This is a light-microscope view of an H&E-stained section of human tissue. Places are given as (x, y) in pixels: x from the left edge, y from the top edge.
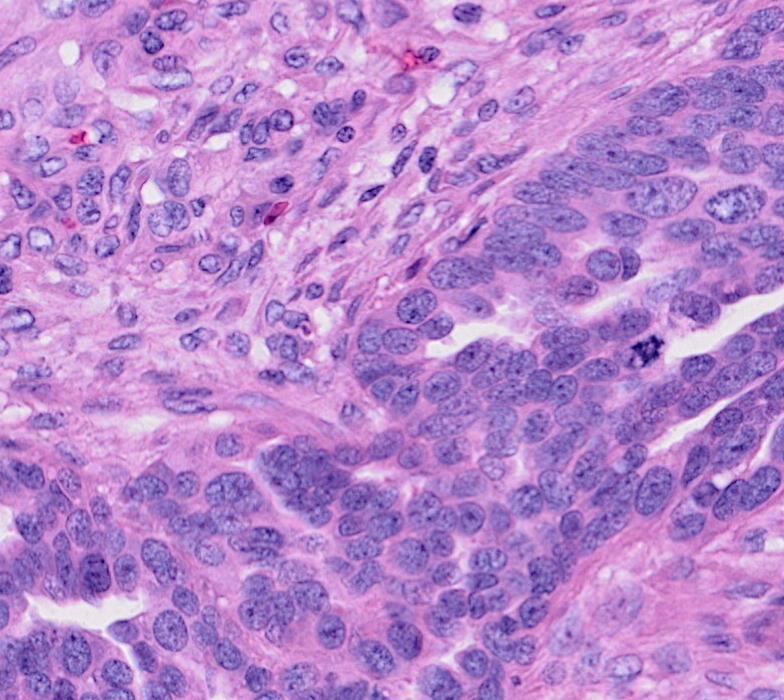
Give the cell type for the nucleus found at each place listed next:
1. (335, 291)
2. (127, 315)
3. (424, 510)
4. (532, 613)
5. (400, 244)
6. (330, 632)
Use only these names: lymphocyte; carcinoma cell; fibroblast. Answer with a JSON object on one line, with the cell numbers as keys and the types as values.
{"1": "fibroblast", "2": "fibroblast", "3": "carcinoma cell", "4": "carcinoma cell", "5": "fibroblast", "6": "carcinoma cell"}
